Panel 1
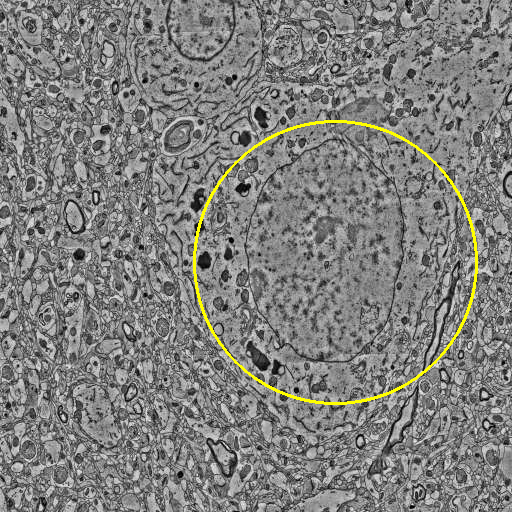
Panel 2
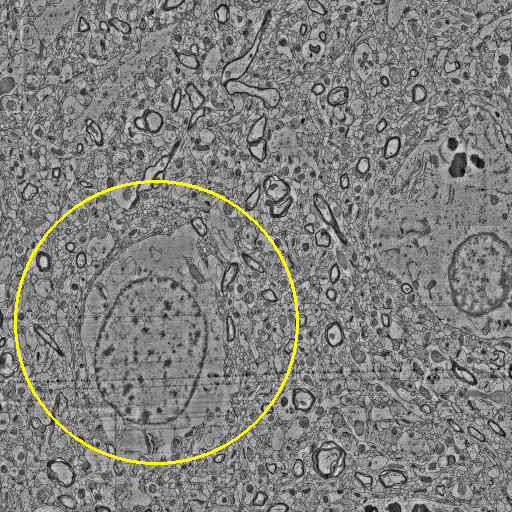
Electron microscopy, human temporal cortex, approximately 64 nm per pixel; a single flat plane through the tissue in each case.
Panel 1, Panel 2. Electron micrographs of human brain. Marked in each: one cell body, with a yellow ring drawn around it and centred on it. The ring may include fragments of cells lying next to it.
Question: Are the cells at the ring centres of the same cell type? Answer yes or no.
no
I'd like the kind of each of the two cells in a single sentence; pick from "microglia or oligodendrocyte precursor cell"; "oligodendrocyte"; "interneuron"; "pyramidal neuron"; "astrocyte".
The first ring marks a pyramidal neuron, and the second ring marks an astrocyte.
